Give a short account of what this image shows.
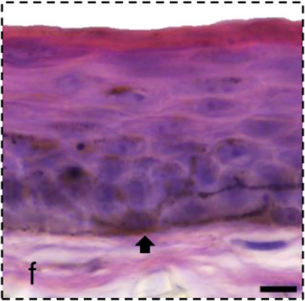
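A thin pink layer covers several layers of densely packed cells whose cytoplasm and nuclei stain purple. Brown pigment granules are scattered among these cells and are densest toward the base of the epidermis. An arrow marks the pigmented cell at the lowest layer, where the epidermis meets the pale underlying compartment. The underlying compartment is pale pink with a few scattered nuclei.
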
